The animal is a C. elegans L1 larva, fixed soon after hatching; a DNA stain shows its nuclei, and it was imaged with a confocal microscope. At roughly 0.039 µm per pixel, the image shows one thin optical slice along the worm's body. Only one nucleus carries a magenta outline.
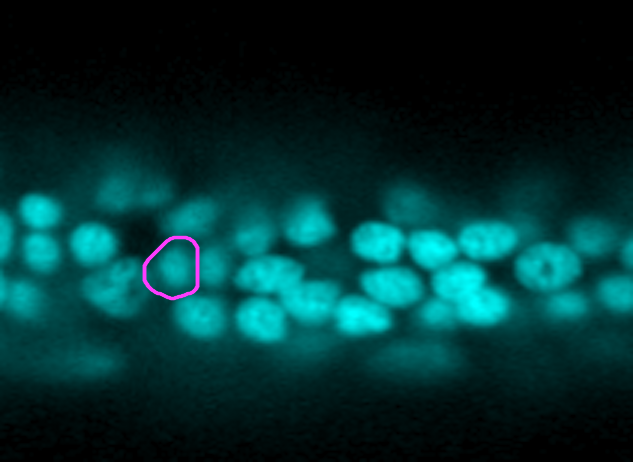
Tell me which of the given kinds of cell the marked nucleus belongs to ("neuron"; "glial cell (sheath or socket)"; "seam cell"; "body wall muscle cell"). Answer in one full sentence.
This nucleus is from a neuron.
